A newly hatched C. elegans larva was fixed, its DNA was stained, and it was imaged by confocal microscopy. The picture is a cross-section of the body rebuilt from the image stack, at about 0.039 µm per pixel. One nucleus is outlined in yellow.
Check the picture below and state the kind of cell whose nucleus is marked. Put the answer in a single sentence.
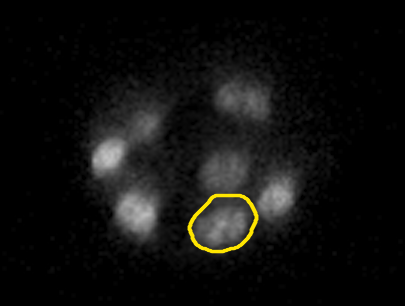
It belongs to a hypodermal cell (hyp).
